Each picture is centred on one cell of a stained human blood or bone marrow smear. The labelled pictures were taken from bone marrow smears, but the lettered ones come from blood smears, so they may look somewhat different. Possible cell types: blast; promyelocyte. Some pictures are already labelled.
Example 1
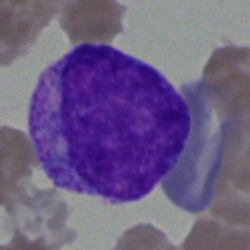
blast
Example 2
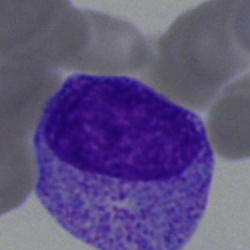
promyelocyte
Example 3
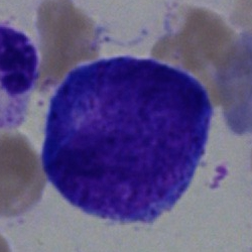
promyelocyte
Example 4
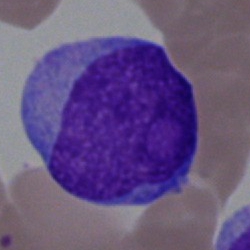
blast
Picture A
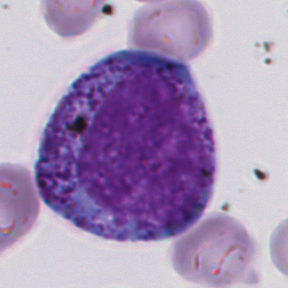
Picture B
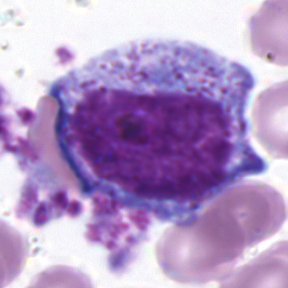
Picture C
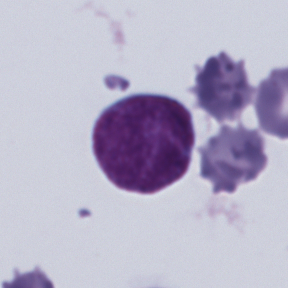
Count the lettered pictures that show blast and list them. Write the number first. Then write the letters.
Count: 1 (C)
